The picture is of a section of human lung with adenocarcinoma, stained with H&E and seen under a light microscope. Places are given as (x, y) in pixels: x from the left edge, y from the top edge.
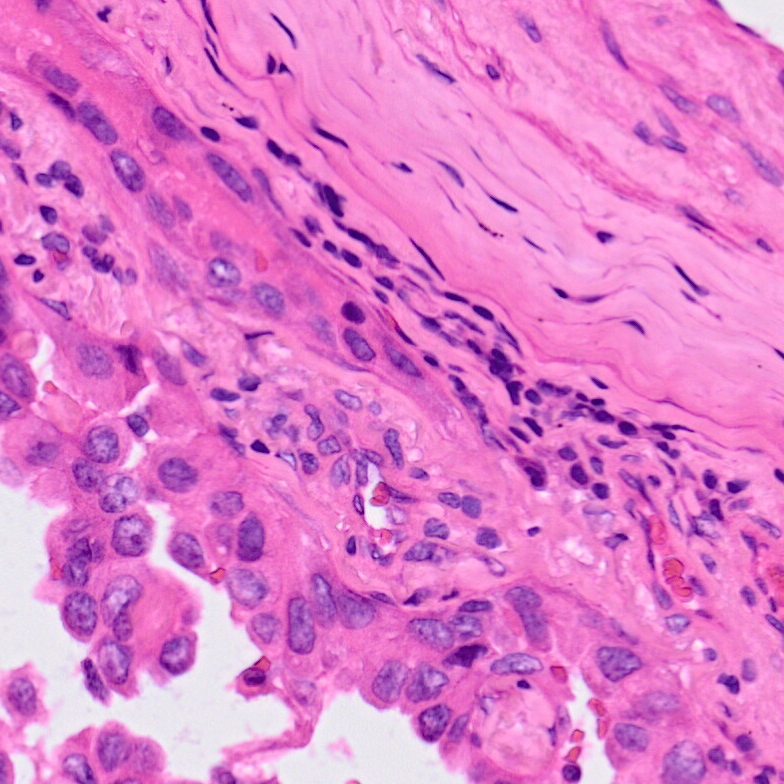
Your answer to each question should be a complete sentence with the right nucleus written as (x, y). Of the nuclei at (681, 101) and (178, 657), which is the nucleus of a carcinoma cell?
The nucleus at (178, 657) is contained in a carcinoma cell.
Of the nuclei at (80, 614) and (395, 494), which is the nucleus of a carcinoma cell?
Identified as belonging to a carcinoma cell is the nucleus at (80, 614).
